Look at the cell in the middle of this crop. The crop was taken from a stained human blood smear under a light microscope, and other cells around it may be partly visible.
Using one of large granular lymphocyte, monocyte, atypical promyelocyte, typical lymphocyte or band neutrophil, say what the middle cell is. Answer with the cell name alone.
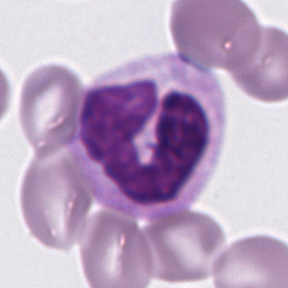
band neutrophil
